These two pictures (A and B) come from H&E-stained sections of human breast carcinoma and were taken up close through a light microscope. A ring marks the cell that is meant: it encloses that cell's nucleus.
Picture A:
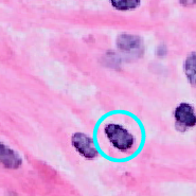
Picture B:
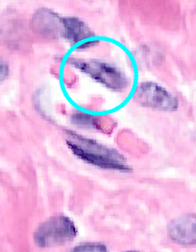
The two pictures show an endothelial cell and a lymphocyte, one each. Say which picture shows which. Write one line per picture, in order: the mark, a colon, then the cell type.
A: lymphocyte
B: endothelial cell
